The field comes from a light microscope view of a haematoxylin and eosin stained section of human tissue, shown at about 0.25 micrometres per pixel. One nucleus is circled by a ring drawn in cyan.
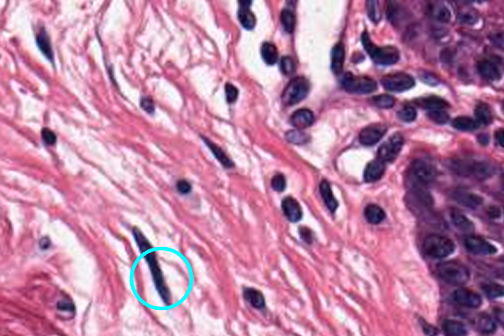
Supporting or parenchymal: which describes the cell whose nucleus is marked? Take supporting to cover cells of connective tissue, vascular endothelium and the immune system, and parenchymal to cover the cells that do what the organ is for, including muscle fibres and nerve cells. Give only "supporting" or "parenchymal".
supporting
